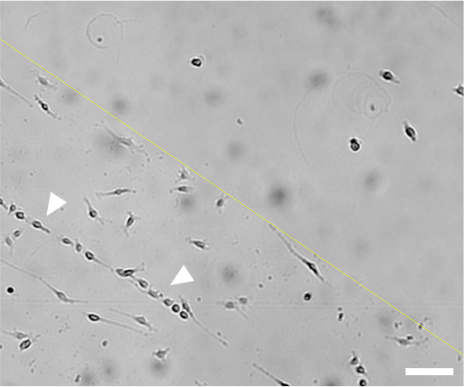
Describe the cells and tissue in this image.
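On the left, elongated bipolar cells lie end to end in straight chains running parallel to the line. On the right, cells are fewer, scattered and mostly rounded or with short processes.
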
